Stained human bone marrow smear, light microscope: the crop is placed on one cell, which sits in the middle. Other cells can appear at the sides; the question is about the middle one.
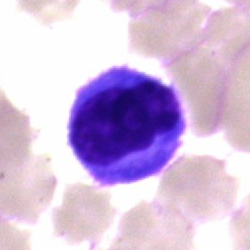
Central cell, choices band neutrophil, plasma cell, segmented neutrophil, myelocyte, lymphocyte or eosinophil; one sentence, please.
Among the cells in view, the one in the middle is a plasma cell.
